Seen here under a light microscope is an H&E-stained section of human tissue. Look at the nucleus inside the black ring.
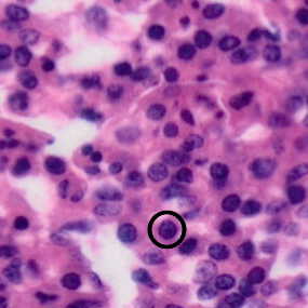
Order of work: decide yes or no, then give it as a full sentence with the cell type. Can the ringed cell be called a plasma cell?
Yes, the ringed cell qualifies as a plasma cell in this section.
